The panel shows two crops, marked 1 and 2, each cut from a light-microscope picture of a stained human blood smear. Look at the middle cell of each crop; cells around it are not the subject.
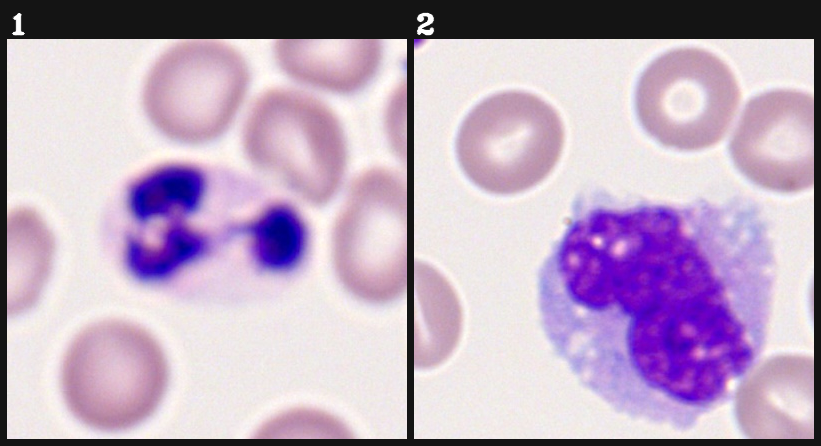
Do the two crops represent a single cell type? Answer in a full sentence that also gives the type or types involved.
No; crop 1 is a neutrophil, while crop 2 is a monocyte.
